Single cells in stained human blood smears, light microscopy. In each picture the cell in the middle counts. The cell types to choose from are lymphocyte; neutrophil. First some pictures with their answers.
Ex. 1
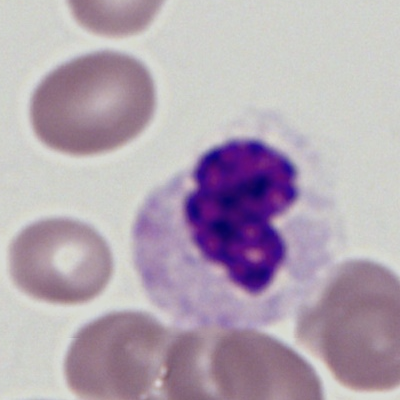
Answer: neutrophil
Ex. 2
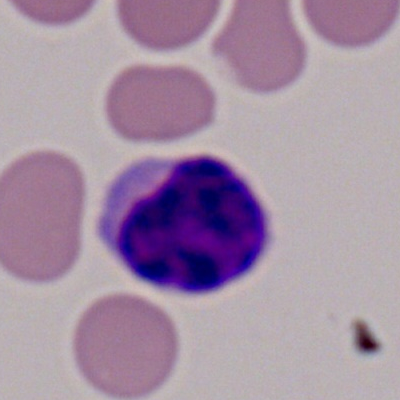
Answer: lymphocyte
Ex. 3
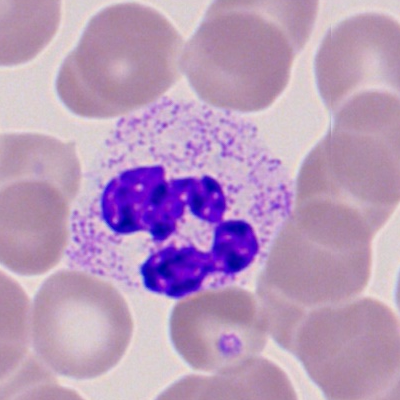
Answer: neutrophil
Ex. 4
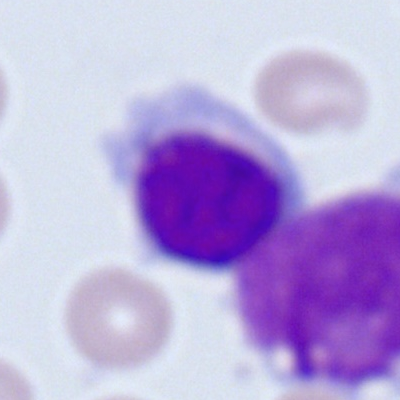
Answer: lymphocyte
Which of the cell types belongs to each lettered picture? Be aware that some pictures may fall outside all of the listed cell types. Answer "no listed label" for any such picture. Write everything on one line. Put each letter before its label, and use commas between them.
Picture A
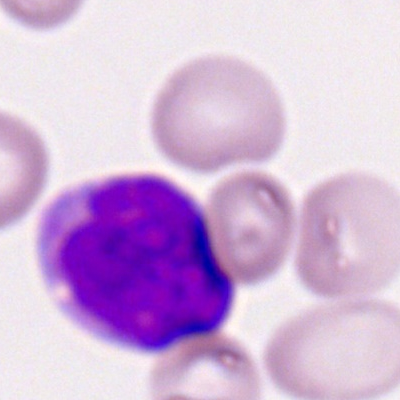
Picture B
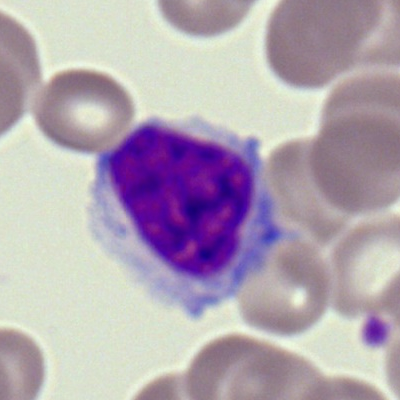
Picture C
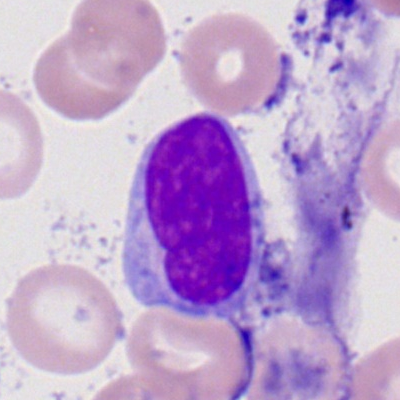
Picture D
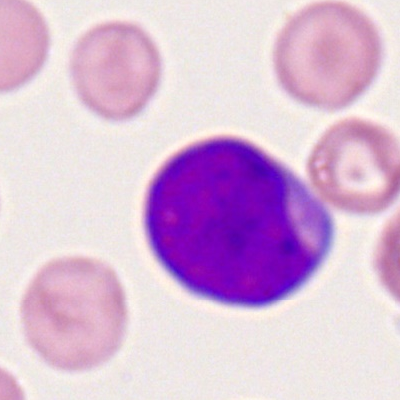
A no listed label, B lymphocyte, C lymphocyte, D no listed label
